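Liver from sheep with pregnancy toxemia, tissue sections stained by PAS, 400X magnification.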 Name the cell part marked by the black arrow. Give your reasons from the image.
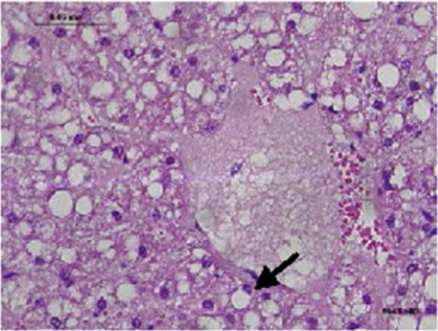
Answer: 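The arrow points to a dark purple body at the rim of a clear vacuole. Clear round vacuoles of varying size are spread through the pink cytoplasm.
Conclusion: nuclei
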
